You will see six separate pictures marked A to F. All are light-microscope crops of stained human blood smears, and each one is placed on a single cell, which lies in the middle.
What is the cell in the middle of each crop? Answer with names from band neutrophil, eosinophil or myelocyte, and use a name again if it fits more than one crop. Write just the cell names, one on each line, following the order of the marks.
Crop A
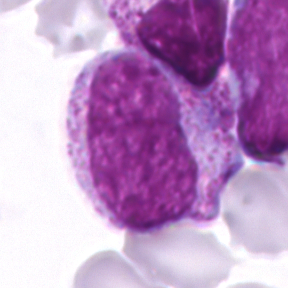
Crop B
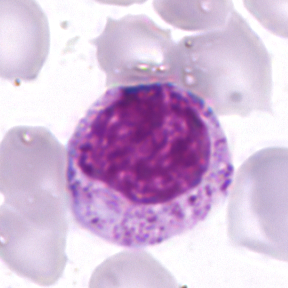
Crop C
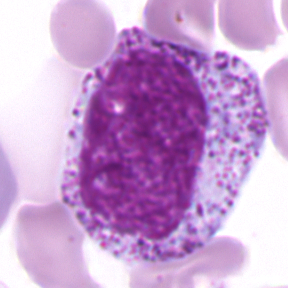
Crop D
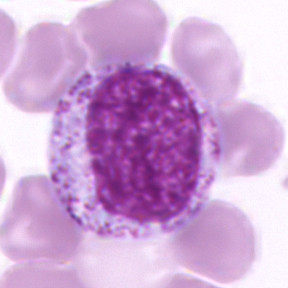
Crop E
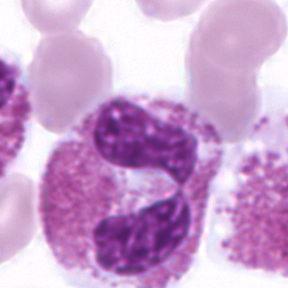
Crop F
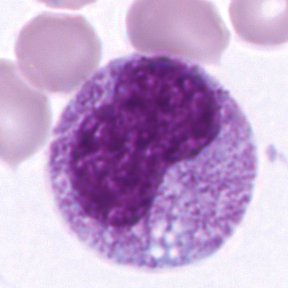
myelocyte
myelocyte
myelocyte
myelocyte
eosinophil
myelocyte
